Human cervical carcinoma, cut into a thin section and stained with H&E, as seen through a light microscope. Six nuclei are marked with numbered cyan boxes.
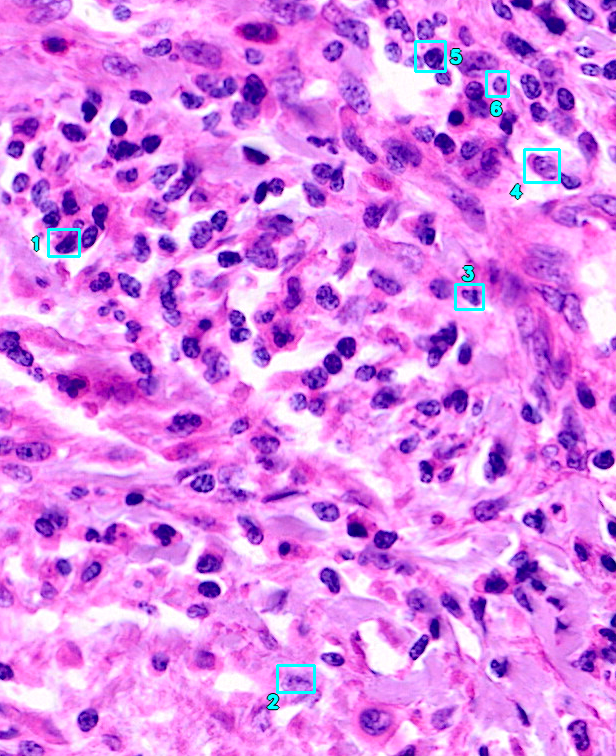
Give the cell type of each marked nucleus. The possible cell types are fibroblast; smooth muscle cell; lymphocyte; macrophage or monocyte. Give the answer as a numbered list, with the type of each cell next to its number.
1. lymphocyte
2. fibroblast
3. lymphocyte
4. macrophage or monocyte
5. lymphocyte
6. lymphocyte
